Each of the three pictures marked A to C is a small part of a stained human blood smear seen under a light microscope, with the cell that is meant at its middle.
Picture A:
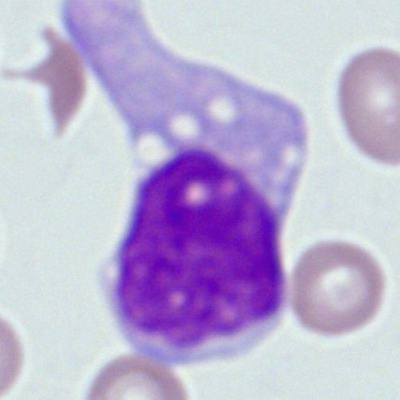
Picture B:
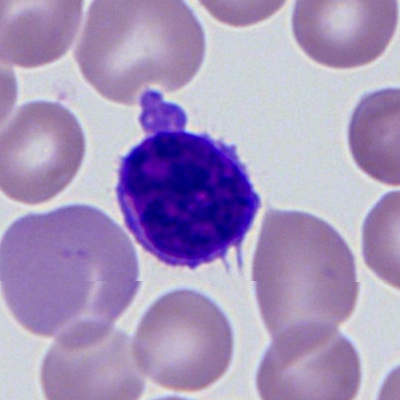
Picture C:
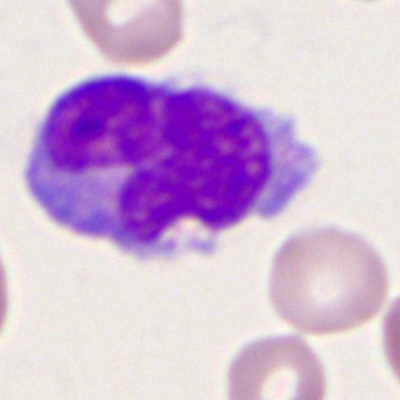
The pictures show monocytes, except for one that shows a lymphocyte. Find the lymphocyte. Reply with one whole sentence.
The picture with the lymphocyte is B.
